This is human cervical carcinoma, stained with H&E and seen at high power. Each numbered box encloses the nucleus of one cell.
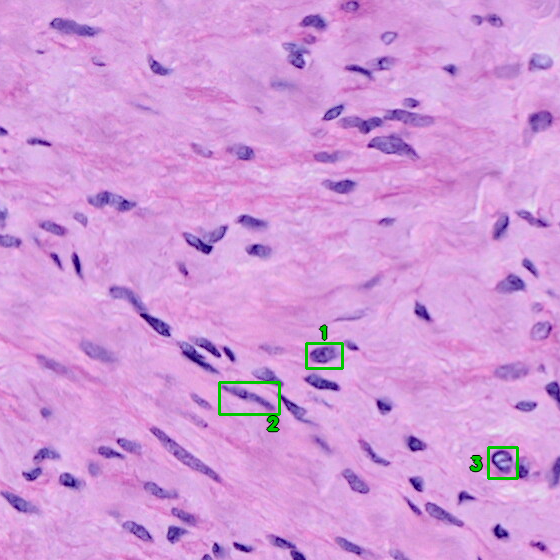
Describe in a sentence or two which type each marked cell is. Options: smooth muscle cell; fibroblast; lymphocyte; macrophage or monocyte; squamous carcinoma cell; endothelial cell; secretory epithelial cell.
Cells 1 and 2 are fibroblasts. Cell 3 is an endothelial cell.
